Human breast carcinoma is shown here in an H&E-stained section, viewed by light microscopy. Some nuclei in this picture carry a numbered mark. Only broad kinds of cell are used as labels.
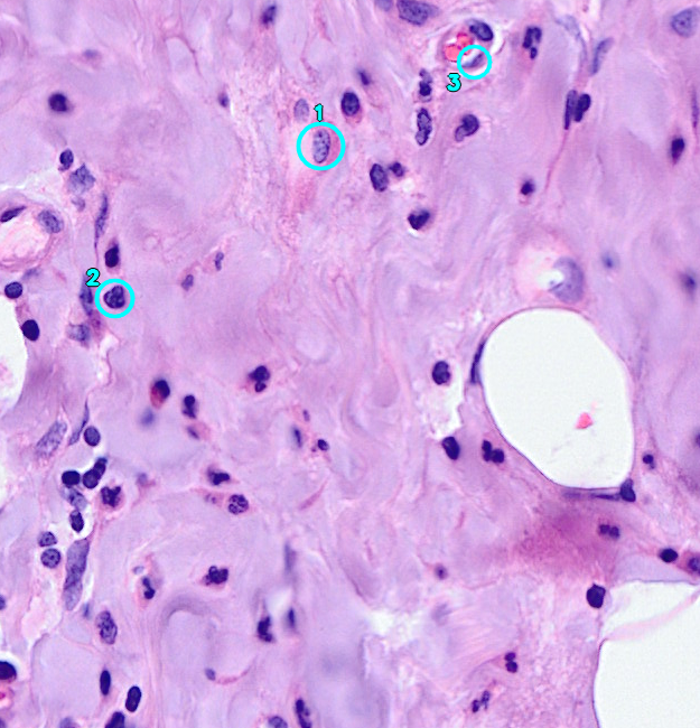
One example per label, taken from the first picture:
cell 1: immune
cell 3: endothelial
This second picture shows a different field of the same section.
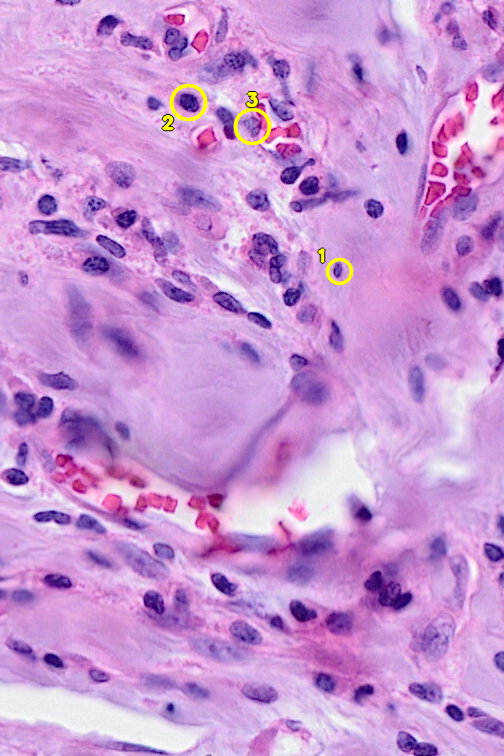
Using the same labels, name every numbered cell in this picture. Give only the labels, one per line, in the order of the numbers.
immune
immune
endothelial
